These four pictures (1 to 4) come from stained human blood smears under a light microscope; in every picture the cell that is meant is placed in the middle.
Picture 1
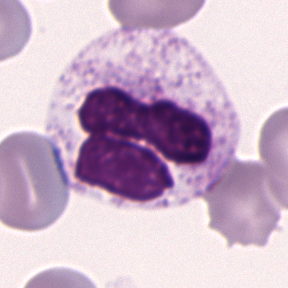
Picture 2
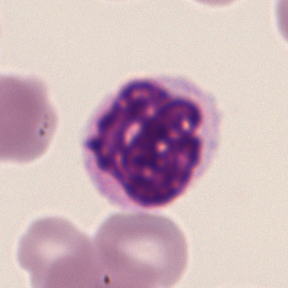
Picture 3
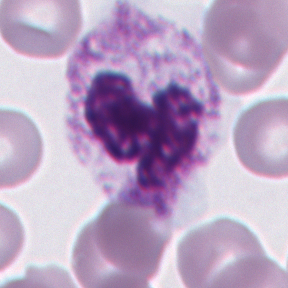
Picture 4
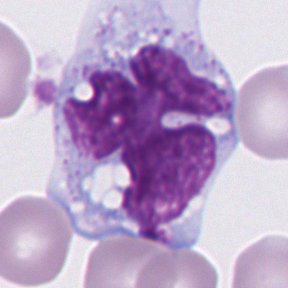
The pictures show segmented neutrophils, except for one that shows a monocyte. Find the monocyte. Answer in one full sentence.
The monocyte is the one in picture 4.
